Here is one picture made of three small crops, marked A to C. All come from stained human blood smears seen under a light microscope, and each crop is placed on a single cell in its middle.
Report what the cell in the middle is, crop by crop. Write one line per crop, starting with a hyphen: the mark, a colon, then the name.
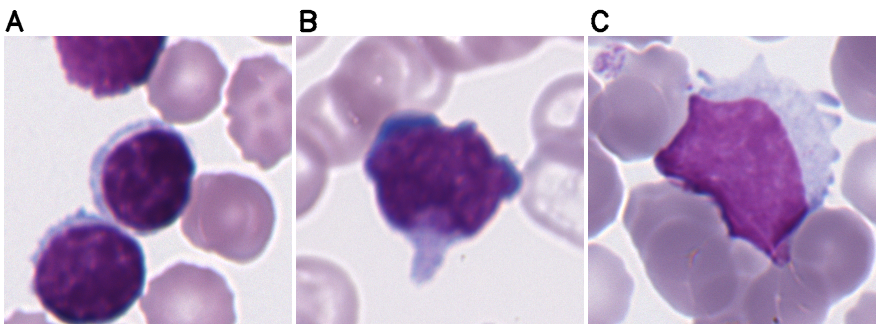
- A: typical lymphocyte
- B: myeloblast
- C: typical lymphocyte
